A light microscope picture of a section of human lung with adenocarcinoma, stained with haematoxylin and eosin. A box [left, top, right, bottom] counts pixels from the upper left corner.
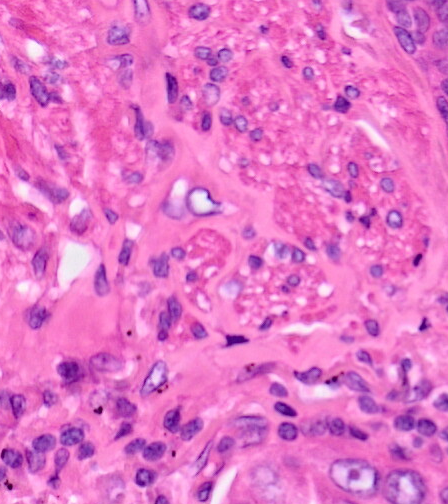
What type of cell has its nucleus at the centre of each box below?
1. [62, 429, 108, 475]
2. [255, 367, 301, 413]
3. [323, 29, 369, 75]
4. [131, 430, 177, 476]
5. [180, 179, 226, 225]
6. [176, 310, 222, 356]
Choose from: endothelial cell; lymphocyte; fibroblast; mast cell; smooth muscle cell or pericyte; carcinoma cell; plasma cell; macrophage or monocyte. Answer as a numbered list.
1. lymphocyte
2. lymphocyte
3. smooth muscle cell or pericyte
4. lymphocyte
5. endothelial cell
6. smooth muscle cell or pericyte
